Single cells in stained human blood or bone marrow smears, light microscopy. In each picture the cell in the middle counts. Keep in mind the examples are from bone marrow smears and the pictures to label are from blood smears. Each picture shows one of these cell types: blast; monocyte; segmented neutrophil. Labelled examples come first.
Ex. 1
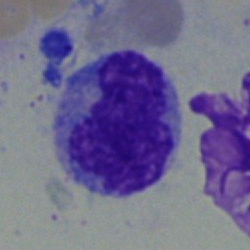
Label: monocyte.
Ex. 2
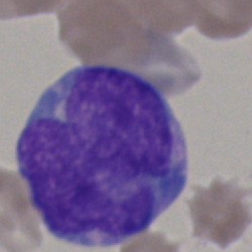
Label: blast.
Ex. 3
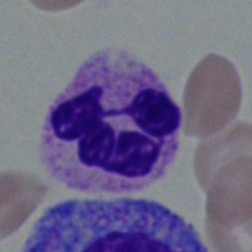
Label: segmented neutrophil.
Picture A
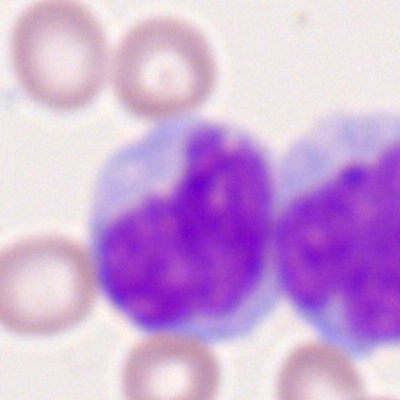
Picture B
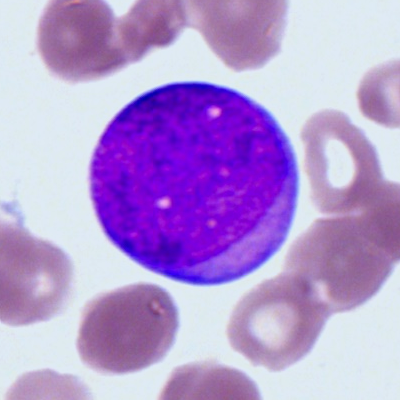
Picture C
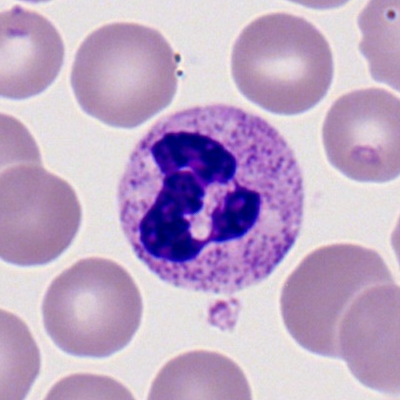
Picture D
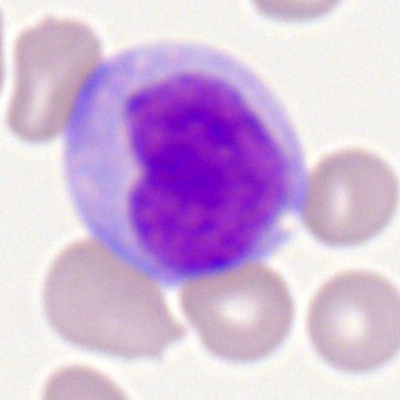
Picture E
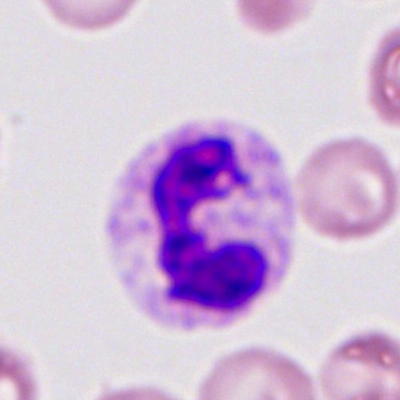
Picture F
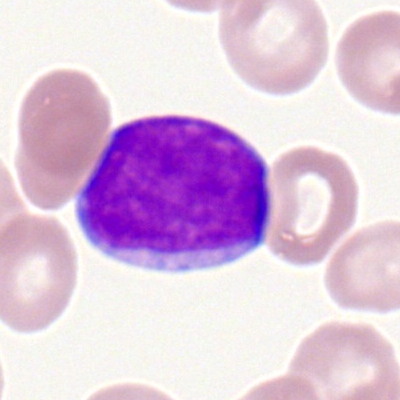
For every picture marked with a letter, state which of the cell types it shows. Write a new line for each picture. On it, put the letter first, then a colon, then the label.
A: monocyte.
B: blast.
C: segmented neutrophil.
D: monocyte.
E: segmented neutrophil.
F: blast.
